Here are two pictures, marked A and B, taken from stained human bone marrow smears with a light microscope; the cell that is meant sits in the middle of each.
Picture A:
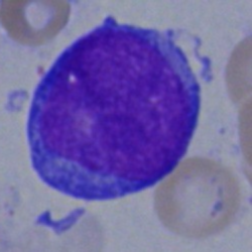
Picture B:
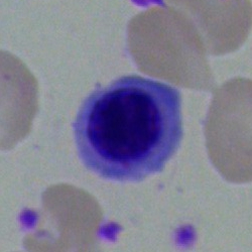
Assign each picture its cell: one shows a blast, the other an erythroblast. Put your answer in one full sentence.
Picture A is of a blast, and picture B is of an erythroblast.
